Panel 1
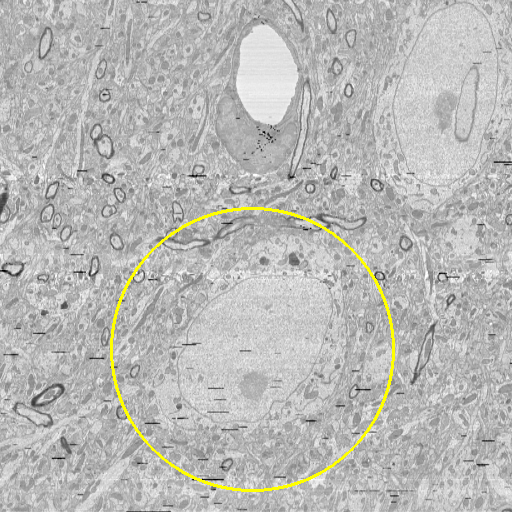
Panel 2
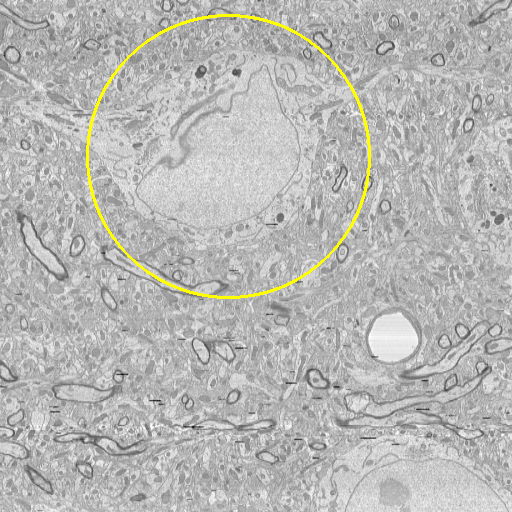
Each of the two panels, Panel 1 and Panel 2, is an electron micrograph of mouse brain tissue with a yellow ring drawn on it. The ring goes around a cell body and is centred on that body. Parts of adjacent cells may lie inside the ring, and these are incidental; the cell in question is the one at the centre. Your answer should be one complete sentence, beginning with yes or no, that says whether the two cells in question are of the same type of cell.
Yes, the two cells are of the same type.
